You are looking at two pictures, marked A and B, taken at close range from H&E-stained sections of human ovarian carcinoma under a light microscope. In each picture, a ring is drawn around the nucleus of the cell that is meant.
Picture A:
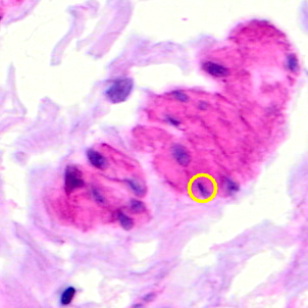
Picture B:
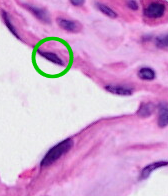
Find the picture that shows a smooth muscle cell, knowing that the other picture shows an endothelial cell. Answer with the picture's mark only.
A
